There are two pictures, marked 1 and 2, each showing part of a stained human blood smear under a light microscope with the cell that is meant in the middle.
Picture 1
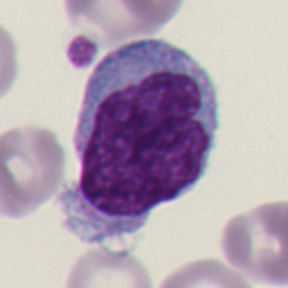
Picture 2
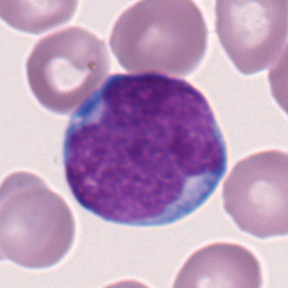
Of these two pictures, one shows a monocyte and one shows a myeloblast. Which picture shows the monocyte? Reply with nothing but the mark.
1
